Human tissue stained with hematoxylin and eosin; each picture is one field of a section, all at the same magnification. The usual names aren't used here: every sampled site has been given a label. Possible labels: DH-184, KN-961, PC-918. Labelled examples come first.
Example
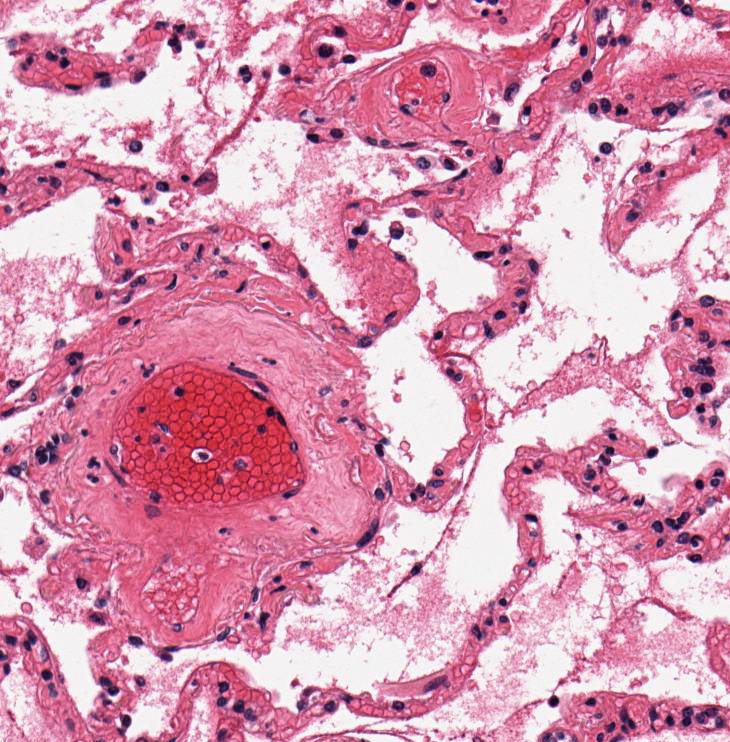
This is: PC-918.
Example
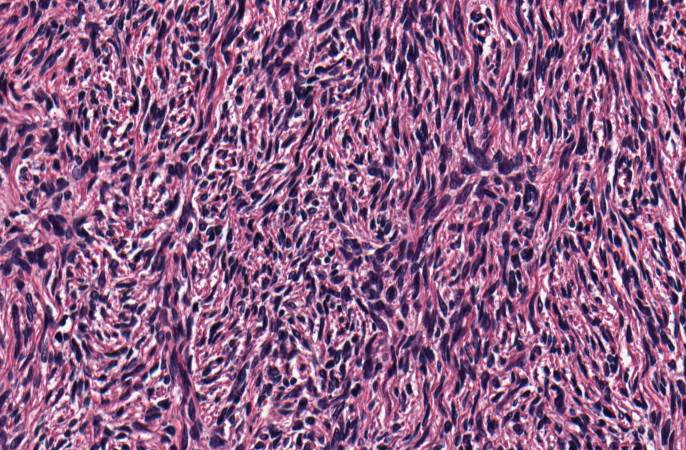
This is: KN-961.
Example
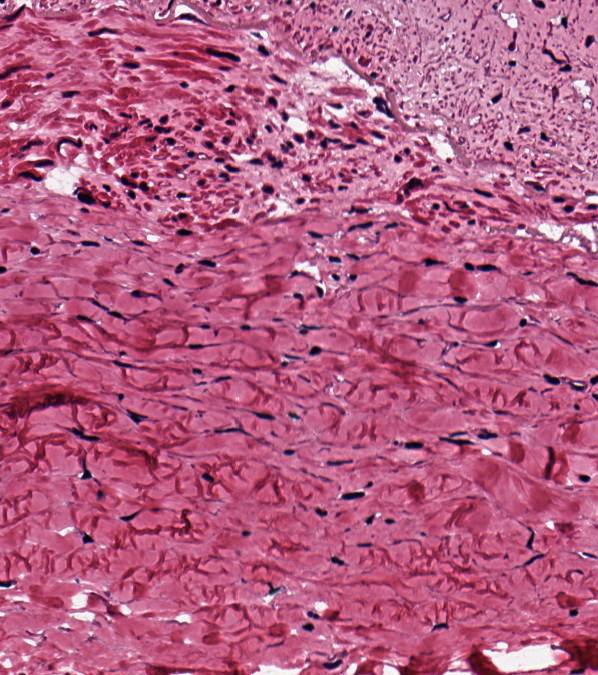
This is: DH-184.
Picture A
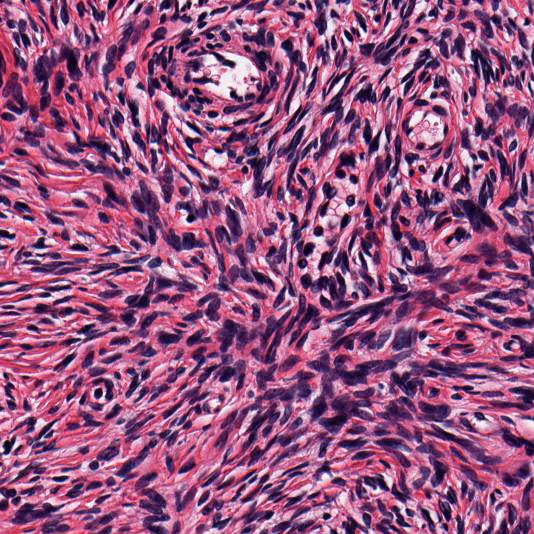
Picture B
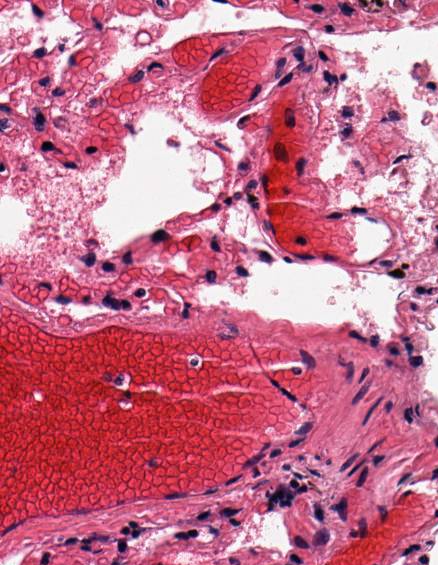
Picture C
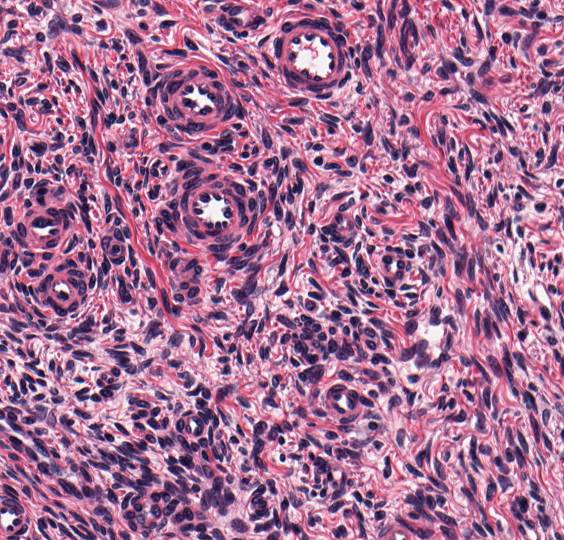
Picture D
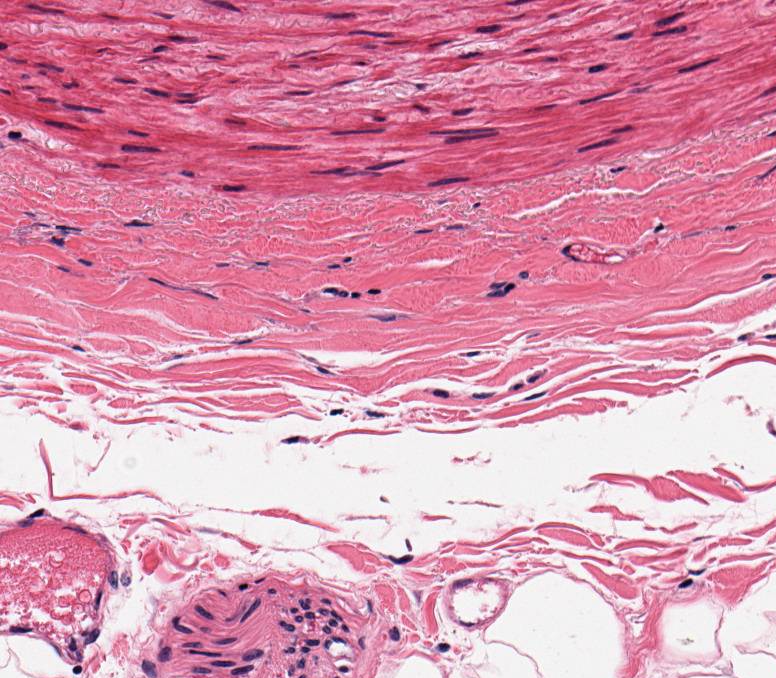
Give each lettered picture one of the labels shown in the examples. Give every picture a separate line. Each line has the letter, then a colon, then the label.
A: KN-961.
B: PC-918.
C: KN-961.
D: DH-184.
